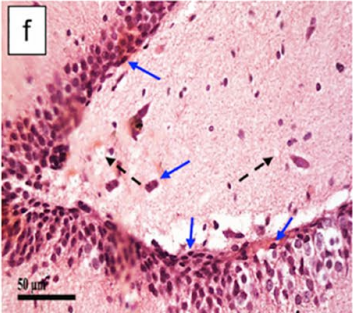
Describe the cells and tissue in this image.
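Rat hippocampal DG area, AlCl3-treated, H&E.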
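Two dense bands of granule cells meet in a V, with the hilar region lying between them, in pink and purple staining. Many granule cells are crowded, shrunken and darkly stained, with small deep purple nuclei, and parts of the layer have a brownish tinge. The hilar region holds scattered dark, angular cells. Its neuropil is pale and loose, with small clear spaces.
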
